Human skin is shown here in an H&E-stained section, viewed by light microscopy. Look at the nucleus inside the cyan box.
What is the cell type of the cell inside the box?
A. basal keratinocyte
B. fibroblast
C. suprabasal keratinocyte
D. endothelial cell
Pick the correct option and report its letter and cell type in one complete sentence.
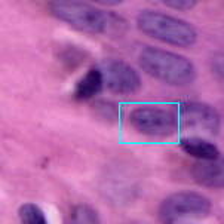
Option A correctly labels the cell inside the box as a basal keratinocyte.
